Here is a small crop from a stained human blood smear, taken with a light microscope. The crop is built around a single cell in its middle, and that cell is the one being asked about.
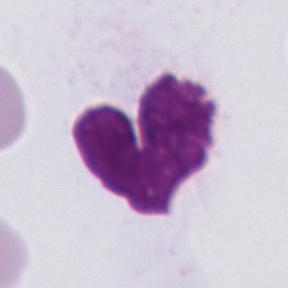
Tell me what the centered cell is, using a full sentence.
The crop centres on a single cell, and that cell is a smudge cell.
